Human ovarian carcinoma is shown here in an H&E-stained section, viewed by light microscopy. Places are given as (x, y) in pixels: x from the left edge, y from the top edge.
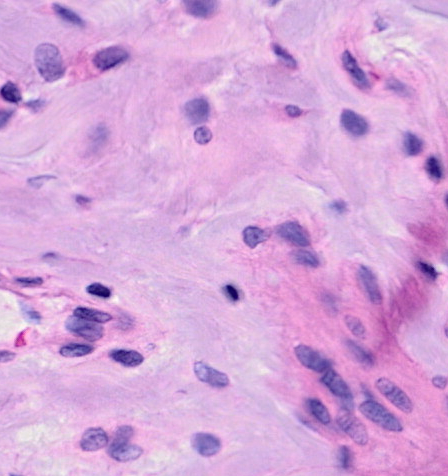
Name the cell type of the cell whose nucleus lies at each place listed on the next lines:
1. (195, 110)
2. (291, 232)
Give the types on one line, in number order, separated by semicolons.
fibroblast; smooth muscle cell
